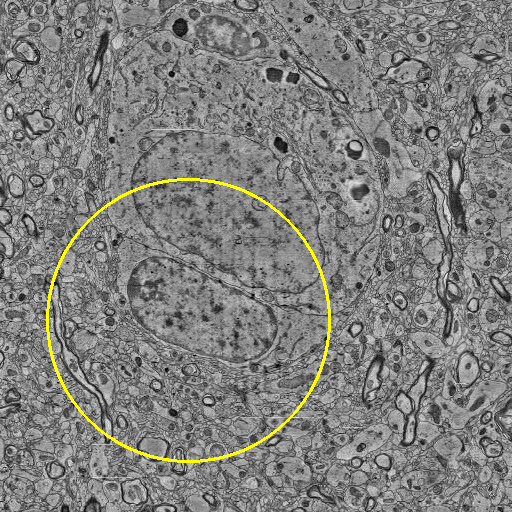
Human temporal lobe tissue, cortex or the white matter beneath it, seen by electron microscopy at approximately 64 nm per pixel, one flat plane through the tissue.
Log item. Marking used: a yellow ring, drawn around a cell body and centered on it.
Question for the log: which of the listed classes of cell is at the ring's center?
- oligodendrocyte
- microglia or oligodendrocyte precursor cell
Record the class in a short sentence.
At the center of the ring lies a microglial cell or oligodendrocyte precursor cell.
